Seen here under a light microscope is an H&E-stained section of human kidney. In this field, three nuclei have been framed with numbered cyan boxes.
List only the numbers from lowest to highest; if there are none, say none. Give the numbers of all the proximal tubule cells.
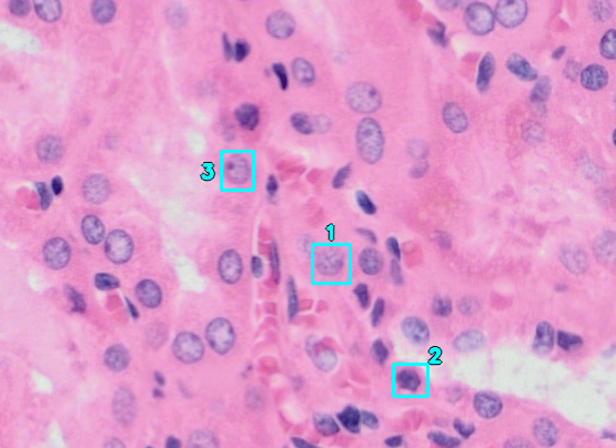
3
